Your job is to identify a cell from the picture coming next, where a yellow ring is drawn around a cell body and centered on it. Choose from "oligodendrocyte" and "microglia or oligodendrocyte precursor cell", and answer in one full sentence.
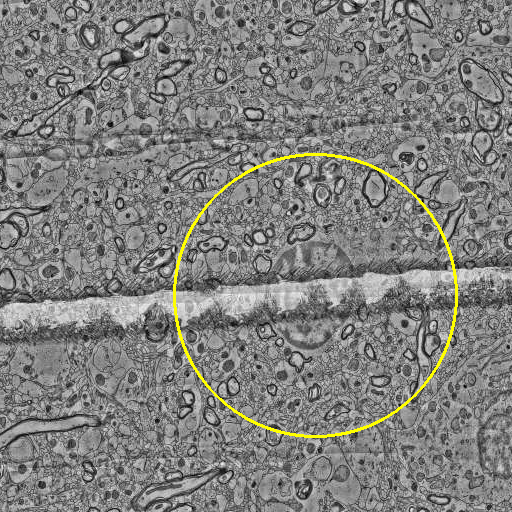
Centered in the yellow ring of the picture is the body of an oligodendrocyte.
